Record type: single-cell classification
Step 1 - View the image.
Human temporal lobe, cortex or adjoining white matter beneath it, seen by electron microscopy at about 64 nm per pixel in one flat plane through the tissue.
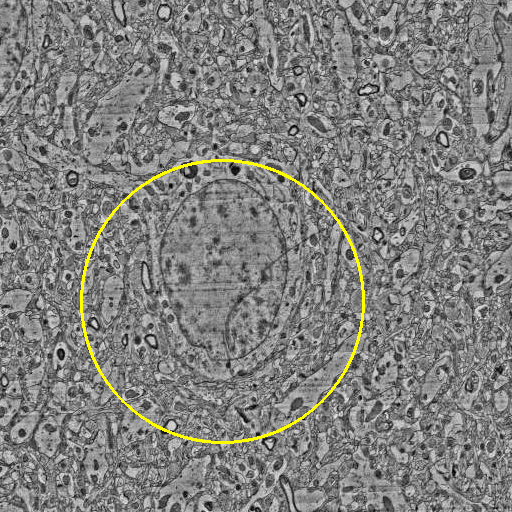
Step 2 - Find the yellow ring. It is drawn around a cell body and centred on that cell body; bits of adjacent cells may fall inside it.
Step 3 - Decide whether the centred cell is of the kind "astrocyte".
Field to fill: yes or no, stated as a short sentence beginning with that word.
No, the centred cell belongs to another kind.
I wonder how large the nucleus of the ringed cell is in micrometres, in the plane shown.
The nucleus measures about 12 by 8 micrometres in this plane.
